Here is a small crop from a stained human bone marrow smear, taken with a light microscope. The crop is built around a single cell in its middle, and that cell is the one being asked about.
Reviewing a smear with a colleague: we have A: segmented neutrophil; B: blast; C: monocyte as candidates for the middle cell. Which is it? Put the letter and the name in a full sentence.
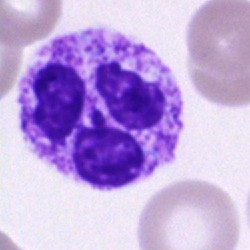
The correct option, A, names the middle cell as a segmented neutrophil.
